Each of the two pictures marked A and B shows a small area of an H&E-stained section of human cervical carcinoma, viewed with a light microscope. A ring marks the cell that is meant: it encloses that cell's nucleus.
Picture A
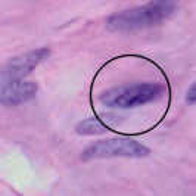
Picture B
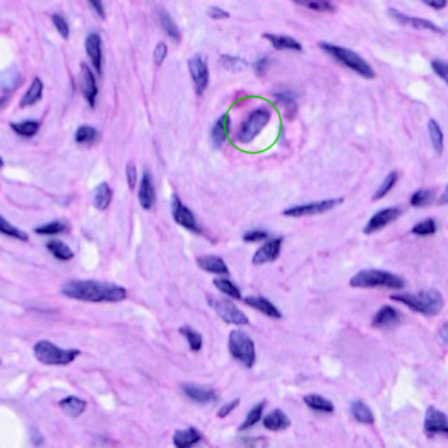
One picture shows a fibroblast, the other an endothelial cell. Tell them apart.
A: fibroblast
B: endothelial cell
